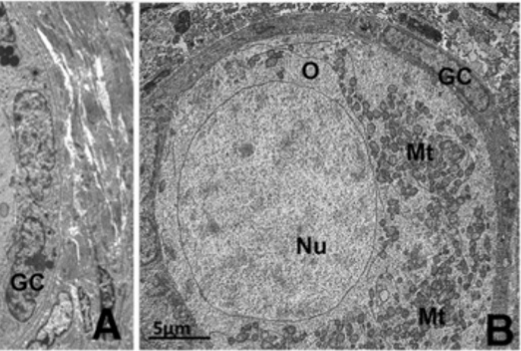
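A primordial follicle with an oocyte ringed by a thin layer of flattened granulosa cells. The oocyte nucleus is very large, round and pale with finely granular chromatin, and lies off-centre toward one side of the cell. The surrounding granulosa cells form a narrow, continuous rim of thin, elongated profiles, and beyond them lies the surrounding ovarian tissue.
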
